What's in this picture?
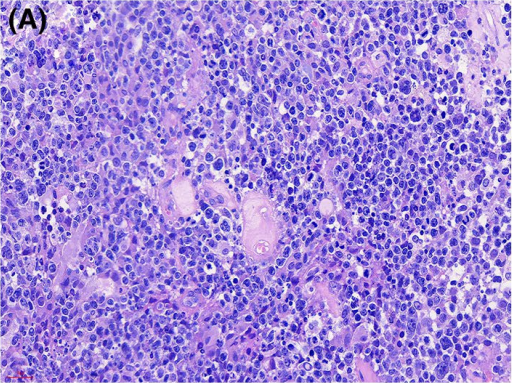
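A sheet of densely packed medium-sized to large tumor cells fills the field, interrupted by a few small vessels with pink hyalinized walls. The cells have round purple nuclei that take up most of each cell, leaving a thin rim of cytoplasm, and they lie loosely with little cohesion between them.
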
